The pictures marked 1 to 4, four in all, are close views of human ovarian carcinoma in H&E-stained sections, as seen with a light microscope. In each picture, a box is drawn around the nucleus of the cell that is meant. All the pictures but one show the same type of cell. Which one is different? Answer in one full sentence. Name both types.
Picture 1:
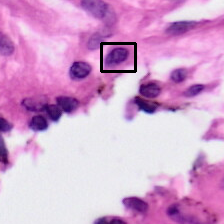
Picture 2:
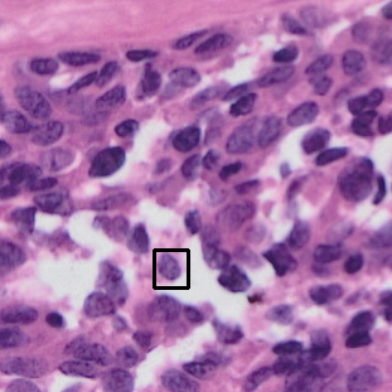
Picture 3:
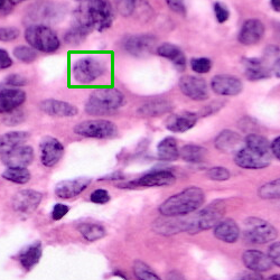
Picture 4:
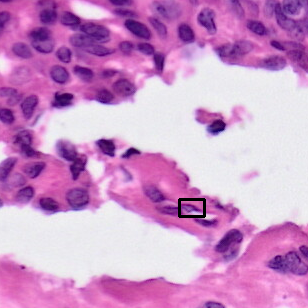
All pictures except 4 show “macrophages or monocytes”; picture 4 shows an endothelial cell.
